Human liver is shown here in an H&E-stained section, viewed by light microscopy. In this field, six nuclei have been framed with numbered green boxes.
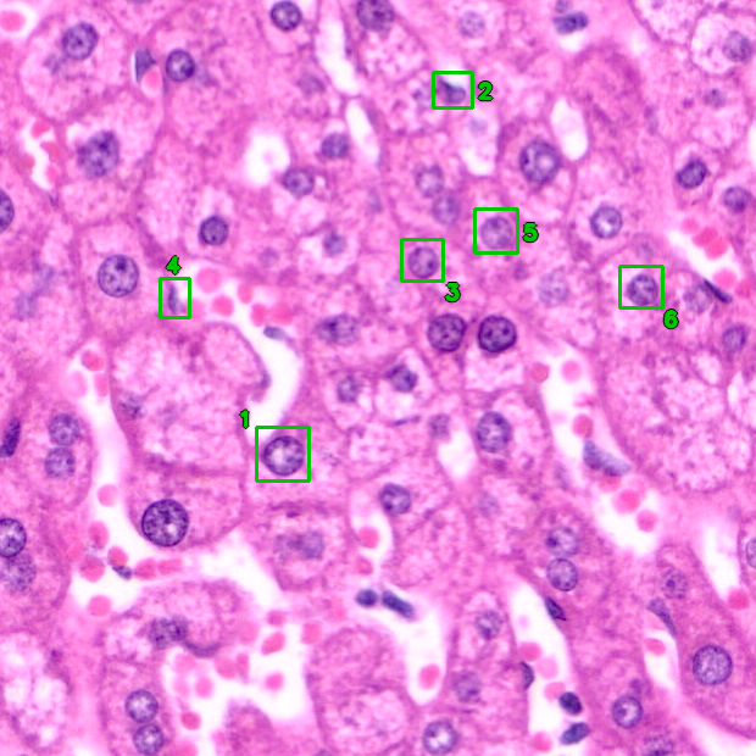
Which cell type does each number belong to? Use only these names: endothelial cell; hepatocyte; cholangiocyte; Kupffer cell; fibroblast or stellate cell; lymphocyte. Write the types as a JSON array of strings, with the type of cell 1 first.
["hepatocyte", "endothelial cell", "hepatocyte", "endothelial cell", "hepatocyte", "hepatocyte"]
